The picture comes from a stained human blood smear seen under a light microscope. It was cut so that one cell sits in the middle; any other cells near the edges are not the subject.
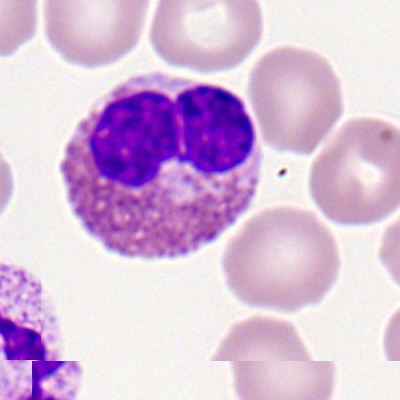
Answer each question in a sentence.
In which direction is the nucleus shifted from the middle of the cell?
Seen from the middle of the cell, the nucleus lies toward the top.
